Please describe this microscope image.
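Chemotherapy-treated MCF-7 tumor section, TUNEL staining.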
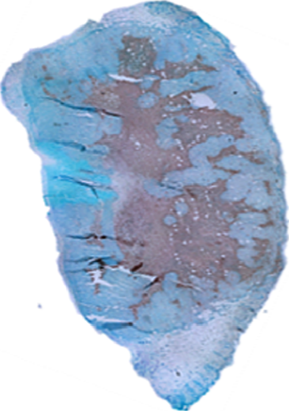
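The brown region is irregular and occupies much of the centre of the section, spreading out in branching extensions. Around it lies a rim of blue-stained tissue along the edge of the section, and rounded blue islands remain scattered within the brown area. Along the left margin the tissue is a paler, brighter blue. Several narrow white clefts and cracks cross the section, mostly near the left and lower parts.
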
